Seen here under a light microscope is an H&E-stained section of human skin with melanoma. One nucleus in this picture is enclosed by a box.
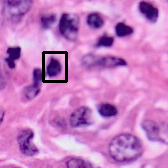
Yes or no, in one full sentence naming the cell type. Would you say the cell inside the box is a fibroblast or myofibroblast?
No, the identity of the cell inside the box is a lymphocyte, not a fibroblast or myofibroblast.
